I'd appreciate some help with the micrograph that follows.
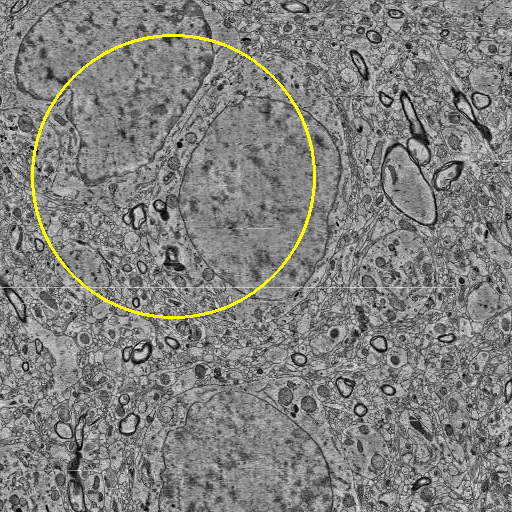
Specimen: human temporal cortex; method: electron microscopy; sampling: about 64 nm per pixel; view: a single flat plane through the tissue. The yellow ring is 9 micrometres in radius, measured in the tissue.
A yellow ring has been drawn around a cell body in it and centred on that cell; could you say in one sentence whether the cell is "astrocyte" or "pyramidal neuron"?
It is a pyramidal neuron at the centre of the ring.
